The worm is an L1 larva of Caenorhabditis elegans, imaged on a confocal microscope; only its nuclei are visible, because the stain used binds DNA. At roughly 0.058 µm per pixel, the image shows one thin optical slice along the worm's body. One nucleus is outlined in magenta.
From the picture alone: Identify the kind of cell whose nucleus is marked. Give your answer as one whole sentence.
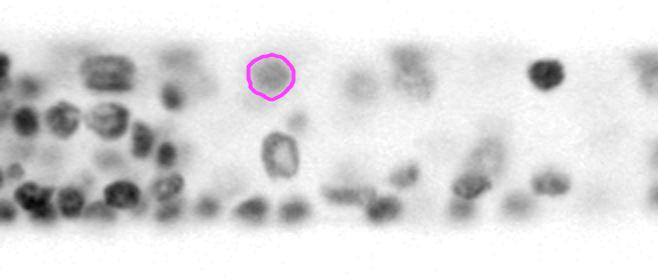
The cell with the marked nucleus is an intestinal cell.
